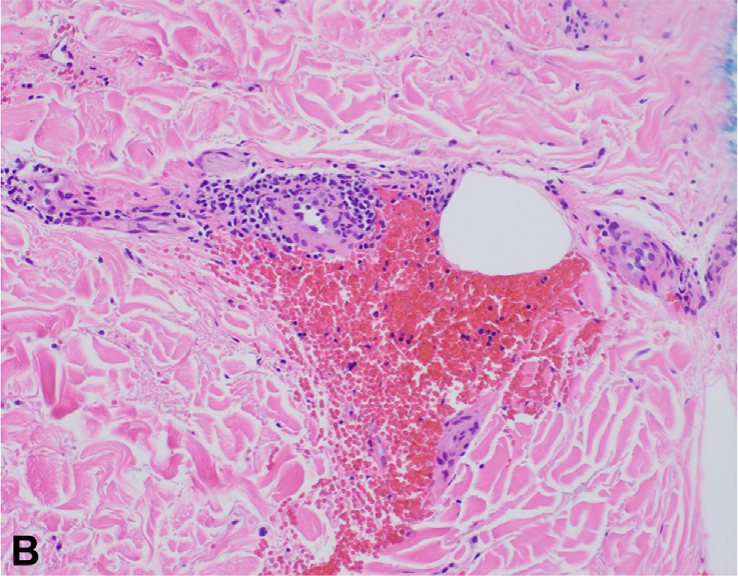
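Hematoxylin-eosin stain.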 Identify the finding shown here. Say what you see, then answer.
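Extravasation of erythrocytes. A large sheet of red blood cells lies free among the pink collagen bundles. The red cells sit outside the vessel lumen, next to a small vessel.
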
